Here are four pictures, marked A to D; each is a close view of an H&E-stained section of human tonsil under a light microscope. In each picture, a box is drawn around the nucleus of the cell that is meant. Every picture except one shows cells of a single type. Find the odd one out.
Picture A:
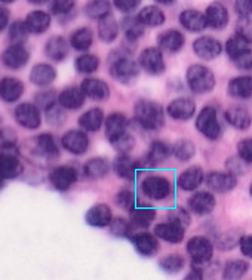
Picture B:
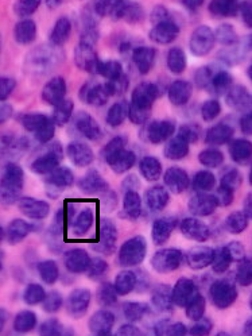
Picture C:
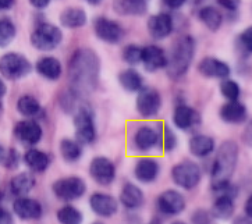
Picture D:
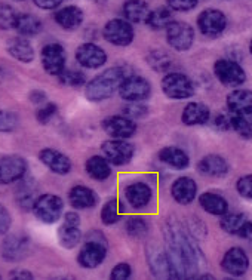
D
